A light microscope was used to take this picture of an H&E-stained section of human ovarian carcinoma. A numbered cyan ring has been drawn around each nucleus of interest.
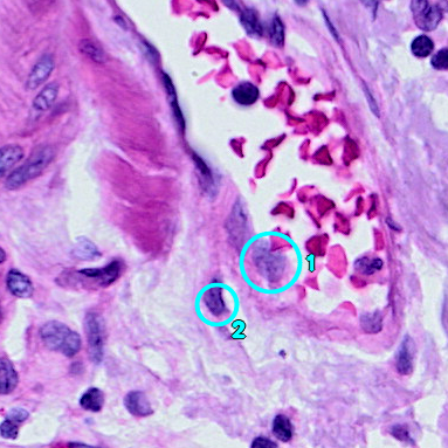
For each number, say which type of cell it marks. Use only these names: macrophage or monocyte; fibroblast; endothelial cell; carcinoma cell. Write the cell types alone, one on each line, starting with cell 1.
endothelial cell
macrophage or monocyte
